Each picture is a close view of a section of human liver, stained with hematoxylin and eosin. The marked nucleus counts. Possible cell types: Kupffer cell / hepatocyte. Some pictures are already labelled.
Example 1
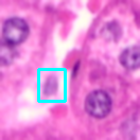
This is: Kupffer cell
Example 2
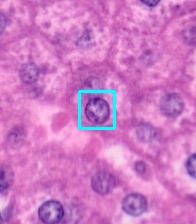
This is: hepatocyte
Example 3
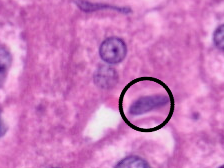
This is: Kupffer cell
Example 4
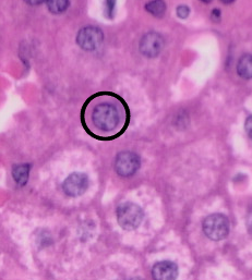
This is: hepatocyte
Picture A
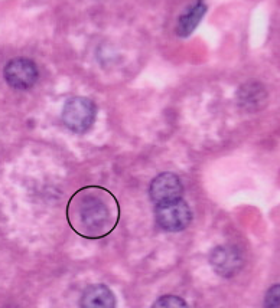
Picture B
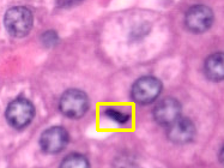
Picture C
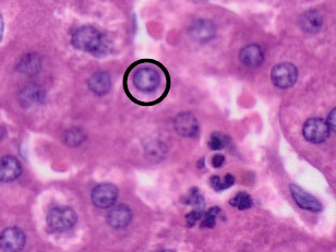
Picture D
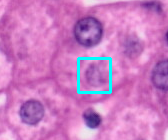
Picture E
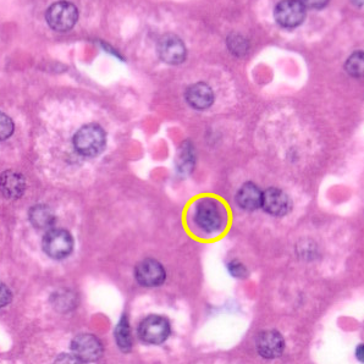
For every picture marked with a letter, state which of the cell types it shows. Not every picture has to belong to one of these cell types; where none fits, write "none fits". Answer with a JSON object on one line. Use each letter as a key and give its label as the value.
{"A": "hepatocyte", "B": "none fits", "C": "hepatocyte", "D": "hepatocyte", "E": "none fits"}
